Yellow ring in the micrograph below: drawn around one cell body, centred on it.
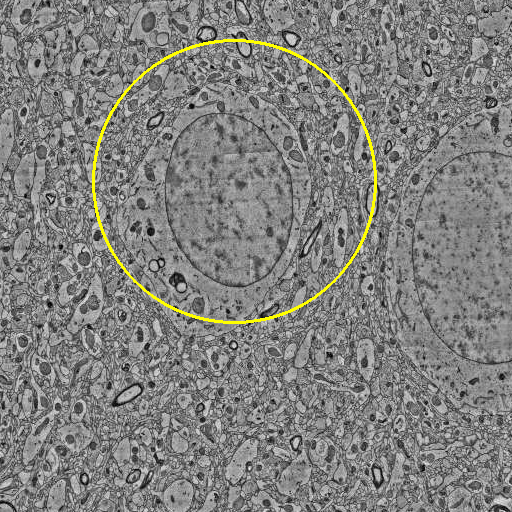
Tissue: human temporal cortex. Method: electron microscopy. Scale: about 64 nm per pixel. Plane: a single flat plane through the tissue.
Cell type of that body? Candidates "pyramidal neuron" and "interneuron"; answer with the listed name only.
pyramidal neuron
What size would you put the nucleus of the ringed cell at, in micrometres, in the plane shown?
Approximately 11 x 8 micrometres in this plane.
